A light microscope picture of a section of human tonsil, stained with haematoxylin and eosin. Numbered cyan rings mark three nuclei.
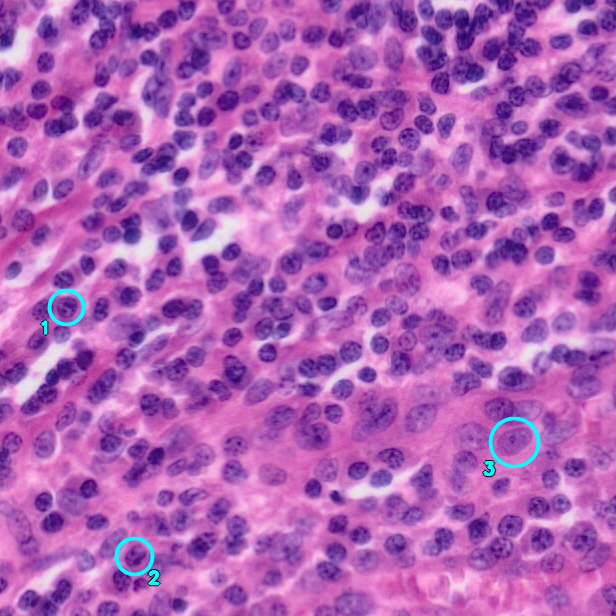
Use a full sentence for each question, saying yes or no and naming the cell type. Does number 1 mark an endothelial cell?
No, the cell indicated by 1 is a plasma cell instead of an endothelial cell.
